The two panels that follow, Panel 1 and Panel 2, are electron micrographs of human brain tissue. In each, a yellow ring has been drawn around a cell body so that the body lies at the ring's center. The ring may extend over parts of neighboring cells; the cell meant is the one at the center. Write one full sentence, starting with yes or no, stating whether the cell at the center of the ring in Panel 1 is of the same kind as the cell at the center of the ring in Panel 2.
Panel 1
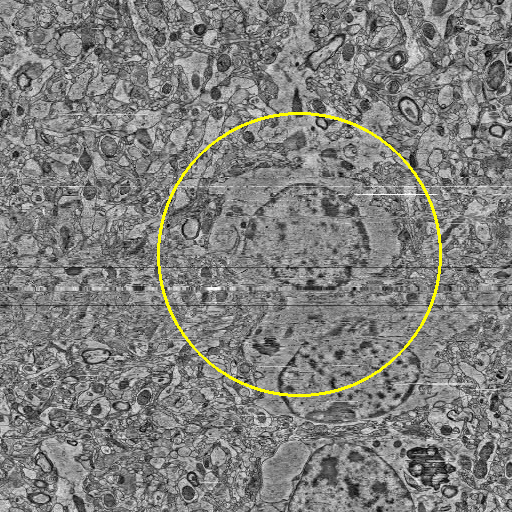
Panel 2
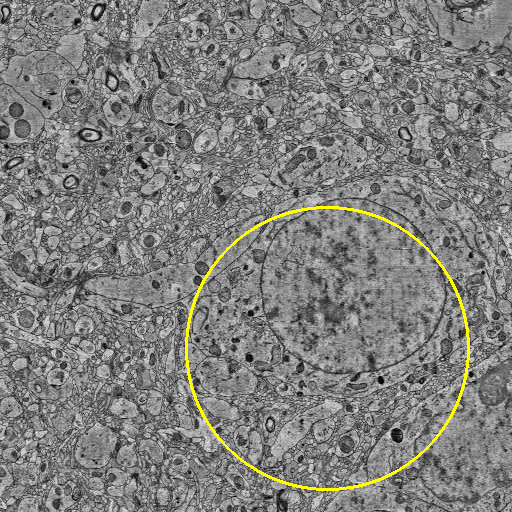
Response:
No, the cells in the two panels are of two kinds.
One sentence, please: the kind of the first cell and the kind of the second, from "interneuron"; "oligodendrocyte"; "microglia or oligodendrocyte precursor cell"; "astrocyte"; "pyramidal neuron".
The ring in the first picture surrounds an astrocyte, and the ring in the second surrounds a pyramidal neuron.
